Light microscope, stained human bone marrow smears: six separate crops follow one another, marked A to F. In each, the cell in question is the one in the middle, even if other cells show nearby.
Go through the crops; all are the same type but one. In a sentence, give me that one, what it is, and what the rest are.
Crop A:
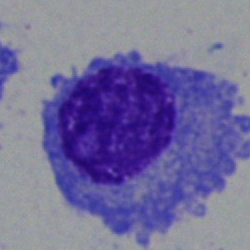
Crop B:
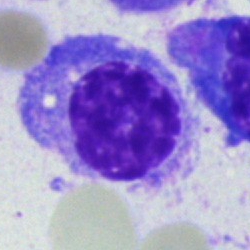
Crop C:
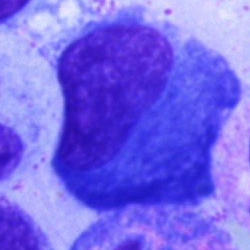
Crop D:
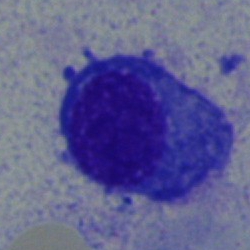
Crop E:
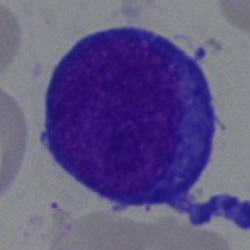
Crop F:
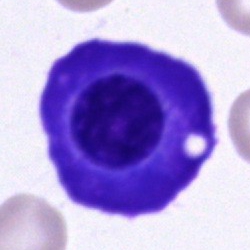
Apart from crop E, which shows a proerythroblast, every crop shows plasma cells.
